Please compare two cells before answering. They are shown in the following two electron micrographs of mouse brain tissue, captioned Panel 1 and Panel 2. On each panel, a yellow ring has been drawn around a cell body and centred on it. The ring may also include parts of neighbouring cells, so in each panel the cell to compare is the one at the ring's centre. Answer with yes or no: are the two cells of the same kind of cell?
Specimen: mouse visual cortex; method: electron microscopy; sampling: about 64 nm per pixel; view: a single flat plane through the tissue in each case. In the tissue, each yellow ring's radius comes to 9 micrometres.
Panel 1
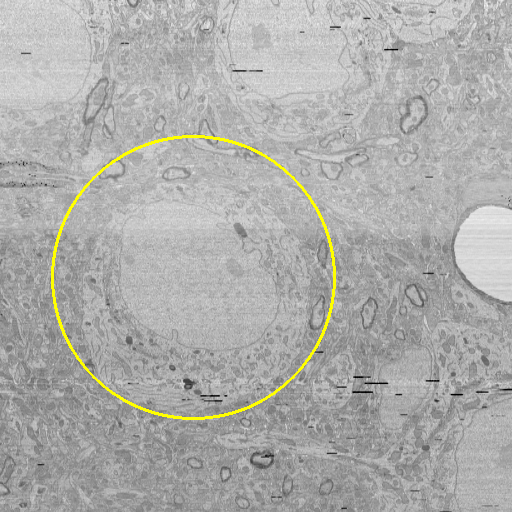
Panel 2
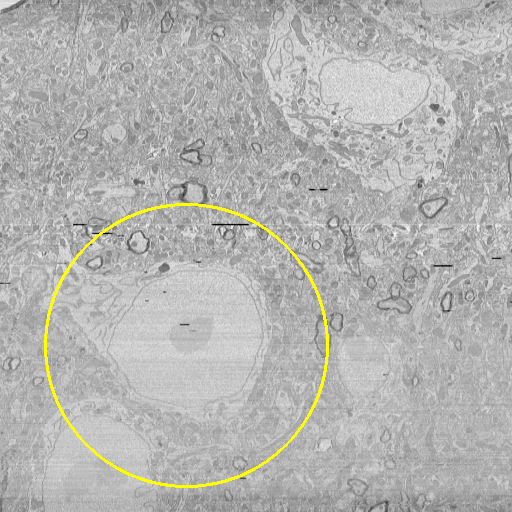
yes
